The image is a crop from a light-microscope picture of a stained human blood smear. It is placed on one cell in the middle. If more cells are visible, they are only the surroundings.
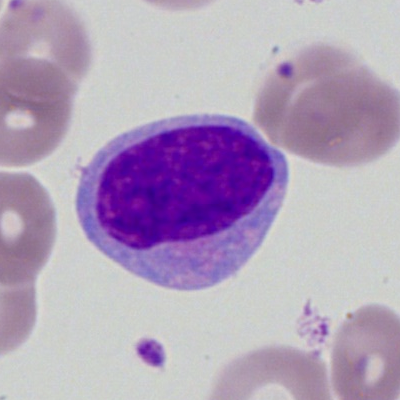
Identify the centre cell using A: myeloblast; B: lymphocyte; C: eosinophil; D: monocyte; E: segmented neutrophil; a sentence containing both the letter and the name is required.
The right choice is option A: the cell in the middle is a myeloblast.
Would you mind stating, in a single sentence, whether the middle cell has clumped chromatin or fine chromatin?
The chromatin within its nucleus forms coarse clumps.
